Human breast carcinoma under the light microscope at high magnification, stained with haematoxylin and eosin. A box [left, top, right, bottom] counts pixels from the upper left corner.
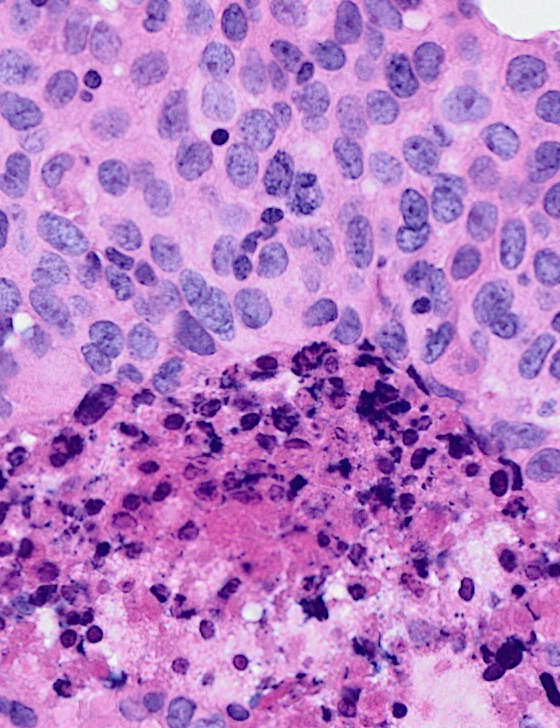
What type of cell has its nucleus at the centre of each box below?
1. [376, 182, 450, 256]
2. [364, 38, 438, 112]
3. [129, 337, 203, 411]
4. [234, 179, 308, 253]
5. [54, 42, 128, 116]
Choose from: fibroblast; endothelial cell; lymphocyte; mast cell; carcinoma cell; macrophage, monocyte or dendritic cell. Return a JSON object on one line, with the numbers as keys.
{"1": "carcinoma cell", "2": "carcinoma cell", "3": "carcinoma cell", "4": "lymphocyte", "5": "lymphocyte"}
